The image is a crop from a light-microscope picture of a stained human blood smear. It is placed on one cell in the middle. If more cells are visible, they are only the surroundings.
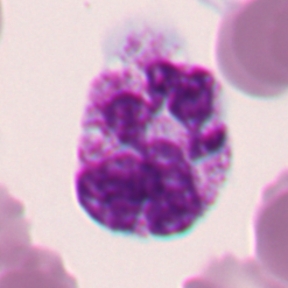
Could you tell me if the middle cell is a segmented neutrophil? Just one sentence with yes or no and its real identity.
Yes, in the middle of the crop is a segmented neutrophil.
